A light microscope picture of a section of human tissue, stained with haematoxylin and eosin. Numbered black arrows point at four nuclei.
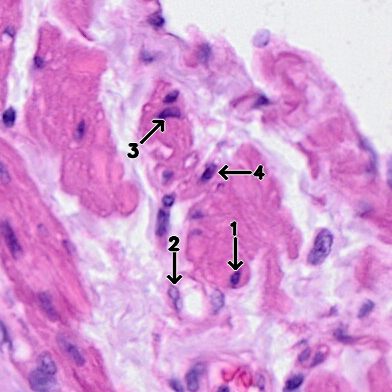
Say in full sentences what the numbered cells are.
Cell 1 is a smooth muscle cell, cell 2 is an endothelial cell, cell 3 is a smooth muscle cell and cell 4 is a smooth muscle cell.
